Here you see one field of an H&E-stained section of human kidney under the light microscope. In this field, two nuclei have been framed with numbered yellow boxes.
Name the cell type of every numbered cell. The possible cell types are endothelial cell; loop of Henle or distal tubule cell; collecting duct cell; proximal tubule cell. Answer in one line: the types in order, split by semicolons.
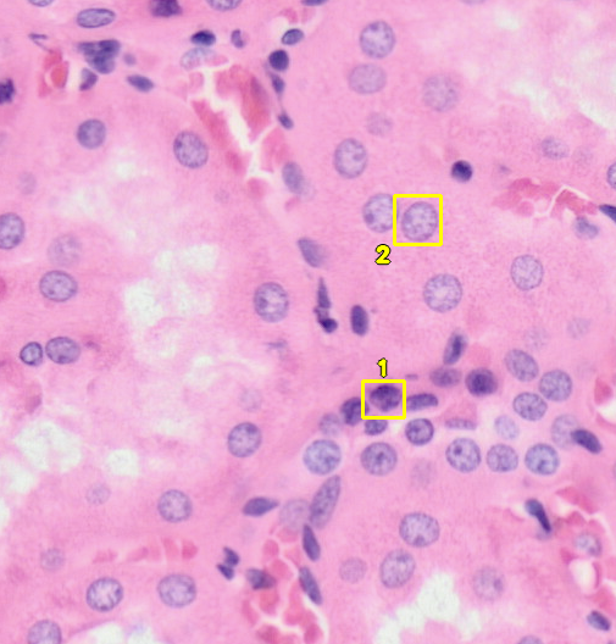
collecting duct cell; proximal tubule cell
